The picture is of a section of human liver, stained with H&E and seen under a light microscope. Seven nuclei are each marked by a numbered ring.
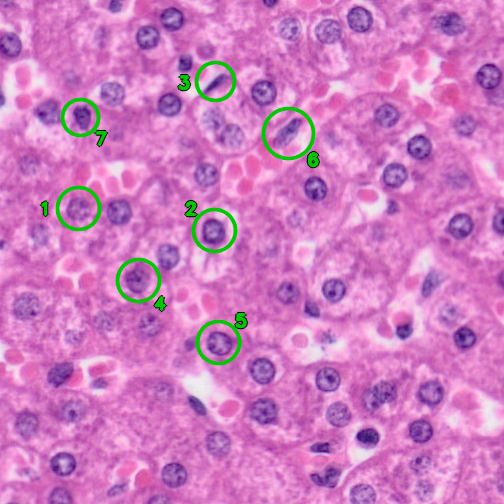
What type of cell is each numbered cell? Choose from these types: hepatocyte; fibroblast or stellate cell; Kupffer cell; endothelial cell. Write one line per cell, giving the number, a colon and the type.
1: hepatocyte
2: hepatocyte
3: endothelial cell
4: hepatocyte
5: hepatocyte
6: Kupffer cell
7: fibroblast or stellate cell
